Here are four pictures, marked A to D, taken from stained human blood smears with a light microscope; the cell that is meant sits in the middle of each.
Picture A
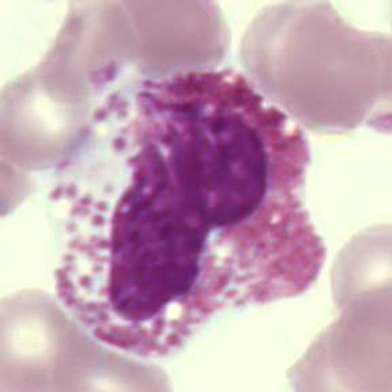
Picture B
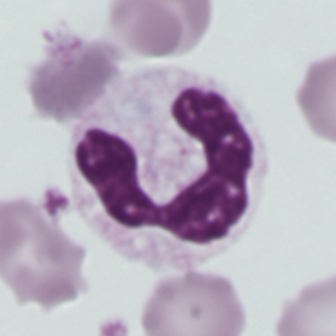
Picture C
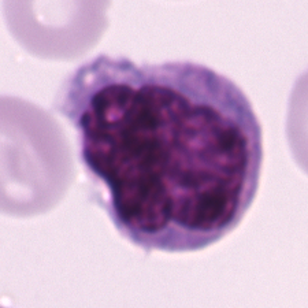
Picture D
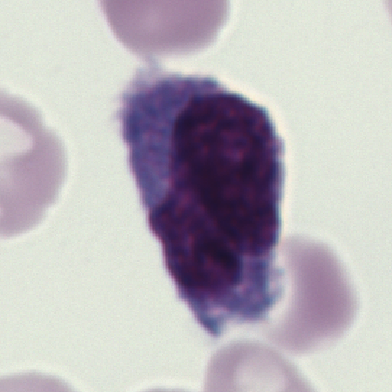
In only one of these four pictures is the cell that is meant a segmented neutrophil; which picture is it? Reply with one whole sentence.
Picture B shows the segmented neutrophil.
